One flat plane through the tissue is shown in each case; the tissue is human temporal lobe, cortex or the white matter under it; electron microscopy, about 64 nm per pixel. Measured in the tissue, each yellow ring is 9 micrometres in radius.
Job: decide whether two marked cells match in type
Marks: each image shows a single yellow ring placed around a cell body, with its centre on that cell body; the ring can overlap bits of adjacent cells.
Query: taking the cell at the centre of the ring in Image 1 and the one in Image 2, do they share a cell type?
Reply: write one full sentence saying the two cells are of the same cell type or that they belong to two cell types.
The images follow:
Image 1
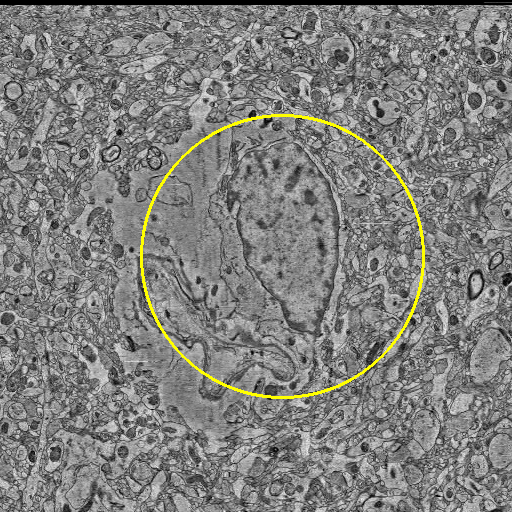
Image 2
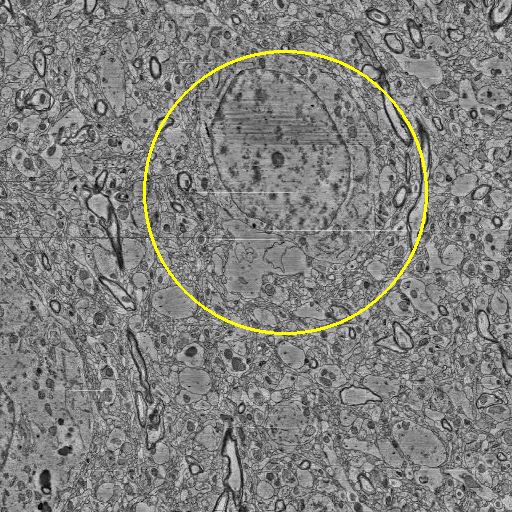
The cells at the ring centres in Image 1 and Image 2 belong to two cell types.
